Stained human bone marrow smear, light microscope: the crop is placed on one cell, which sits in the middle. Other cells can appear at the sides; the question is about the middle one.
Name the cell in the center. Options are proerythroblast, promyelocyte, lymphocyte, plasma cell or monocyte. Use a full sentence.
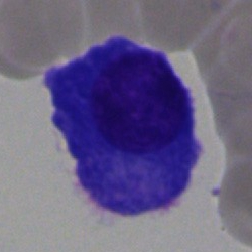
The cell in the exact centre of the crop is a plasma cell.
